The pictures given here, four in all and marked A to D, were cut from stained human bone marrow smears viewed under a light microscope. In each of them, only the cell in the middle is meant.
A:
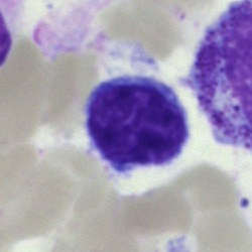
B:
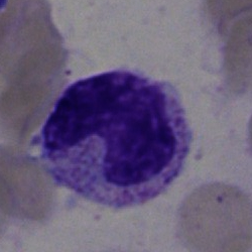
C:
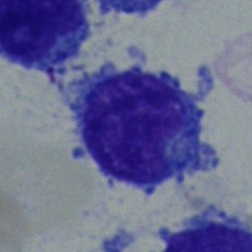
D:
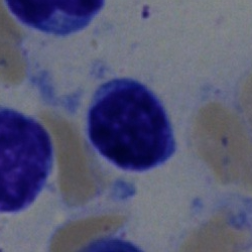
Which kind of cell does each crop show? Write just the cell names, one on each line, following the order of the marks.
lymphocyte
band neutrophil
lymphocyte
lymphocyte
